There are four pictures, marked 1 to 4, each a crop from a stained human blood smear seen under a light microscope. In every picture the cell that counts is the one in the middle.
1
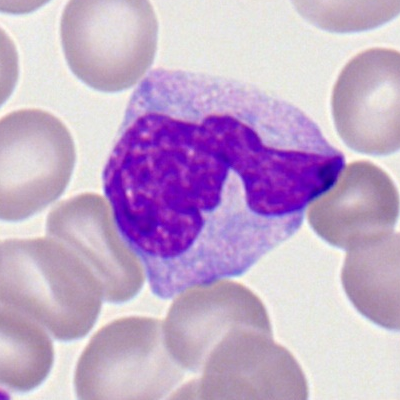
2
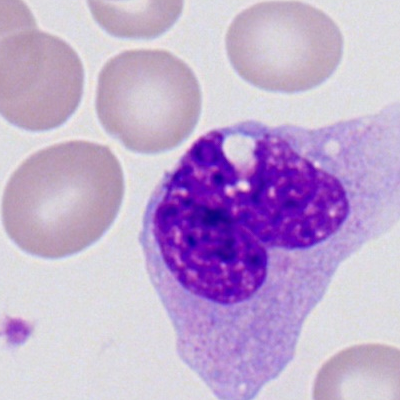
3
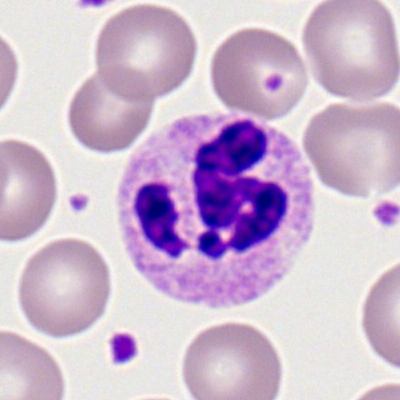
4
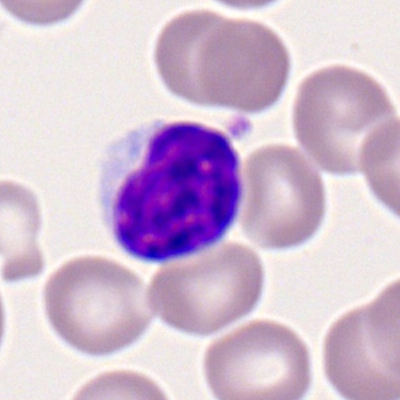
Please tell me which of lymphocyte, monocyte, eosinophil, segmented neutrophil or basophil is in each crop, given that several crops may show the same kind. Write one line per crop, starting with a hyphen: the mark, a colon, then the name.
- 1: monocyte
- 2: monocyte
- 3: segmented neutrophil
- 4: lymphocyte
